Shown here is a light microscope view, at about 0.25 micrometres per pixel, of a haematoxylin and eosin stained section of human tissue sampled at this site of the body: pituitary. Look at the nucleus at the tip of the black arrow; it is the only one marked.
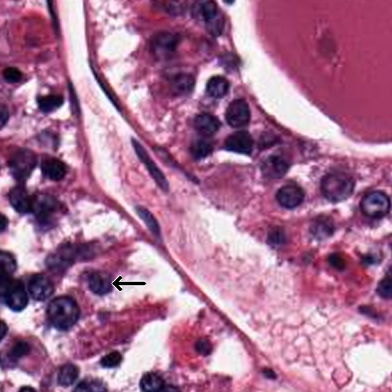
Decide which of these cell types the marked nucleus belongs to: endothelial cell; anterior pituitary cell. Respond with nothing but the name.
anterior pituitary cell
